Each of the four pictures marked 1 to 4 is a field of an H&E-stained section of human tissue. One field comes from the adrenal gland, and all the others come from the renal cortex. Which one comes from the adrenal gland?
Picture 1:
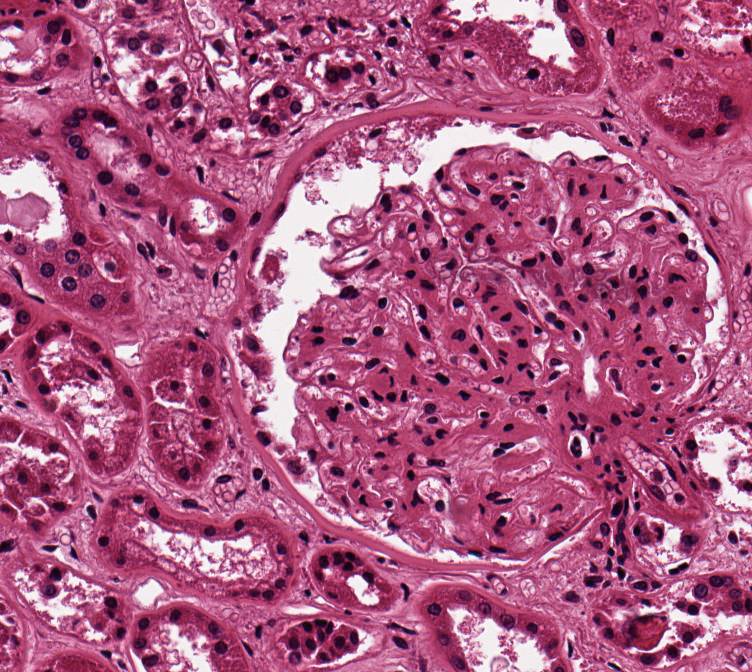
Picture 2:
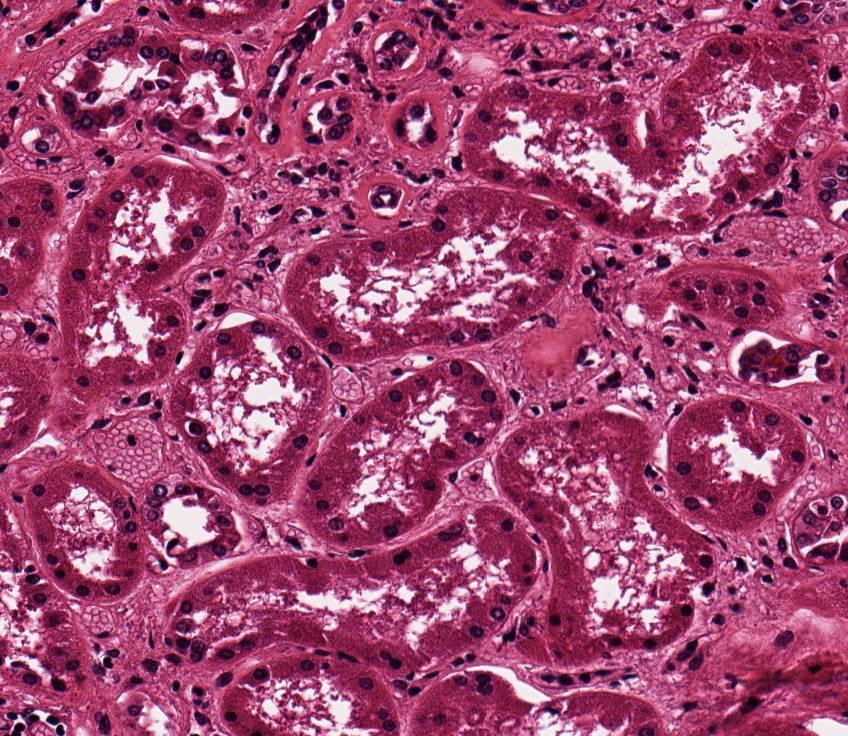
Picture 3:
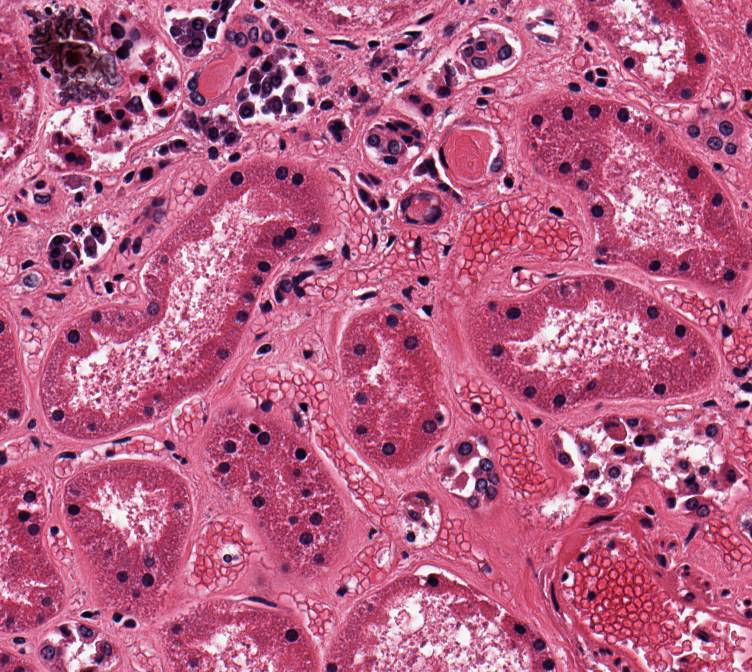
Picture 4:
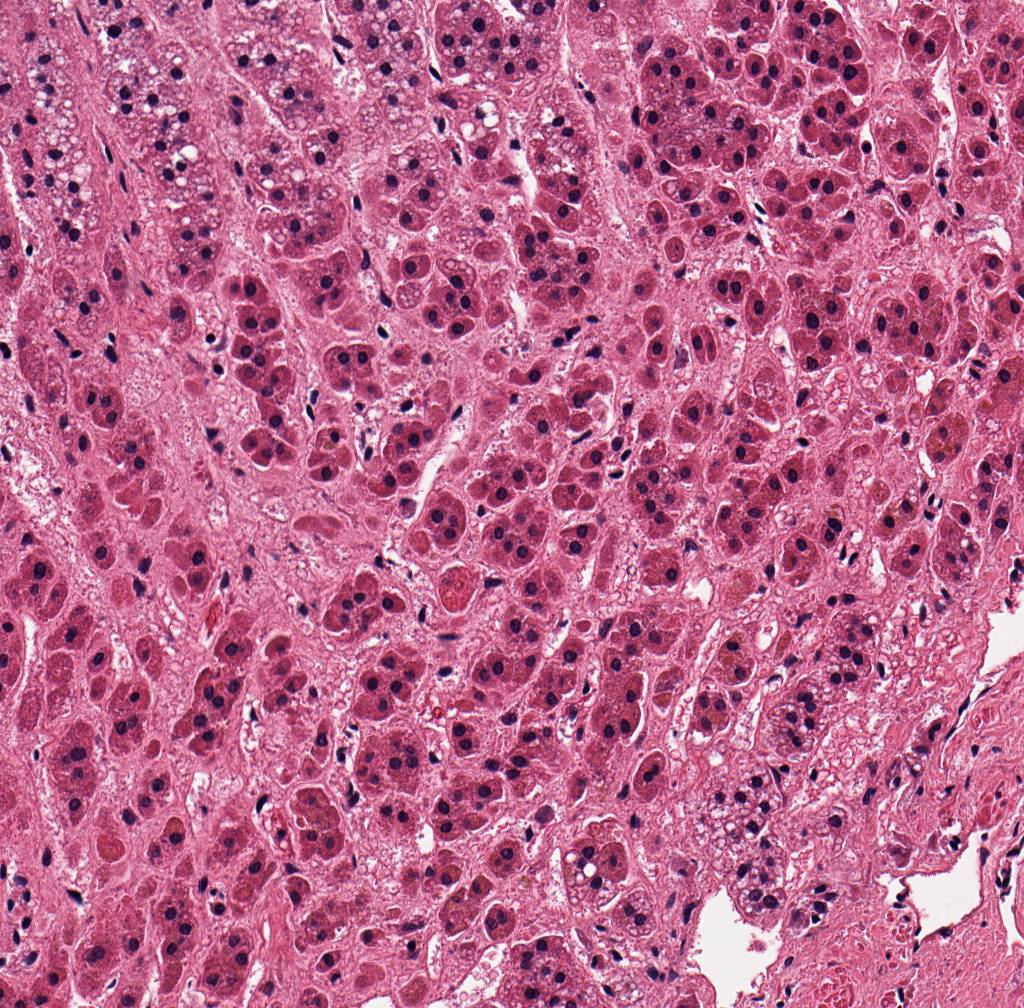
4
